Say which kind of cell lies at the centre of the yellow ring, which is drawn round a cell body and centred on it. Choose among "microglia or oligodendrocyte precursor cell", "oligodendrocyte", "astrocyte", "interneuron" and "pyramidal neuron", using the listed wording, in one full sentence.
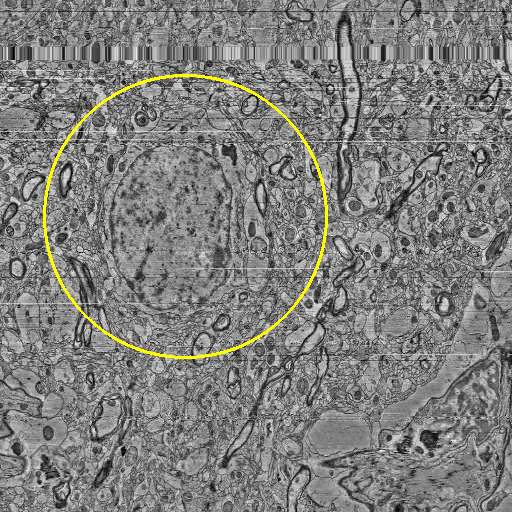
Going by the list, the cell at the yellow ring's centre is an interneuron.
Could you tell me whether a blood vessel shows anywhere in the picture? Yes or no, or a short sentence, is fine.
Yes, one shows.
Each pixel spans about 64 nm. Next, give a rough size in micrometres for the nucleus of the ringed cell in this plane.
Roughly 11 by 8 micrometres in this plane, for the nucleus of the ringed cell.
